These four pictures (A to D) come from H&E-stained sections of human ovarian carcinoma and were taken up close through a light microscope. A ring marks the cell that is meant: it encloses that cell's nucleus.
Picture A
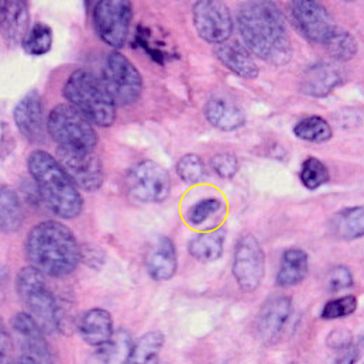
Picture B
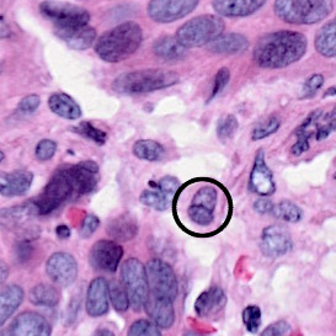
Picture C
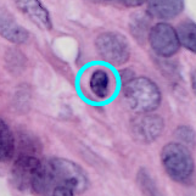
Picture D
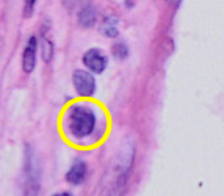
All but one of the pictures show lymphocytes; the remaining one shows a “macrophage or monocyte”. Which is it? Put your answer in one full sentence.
Picture B shows the “macrophage or monocyte”.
